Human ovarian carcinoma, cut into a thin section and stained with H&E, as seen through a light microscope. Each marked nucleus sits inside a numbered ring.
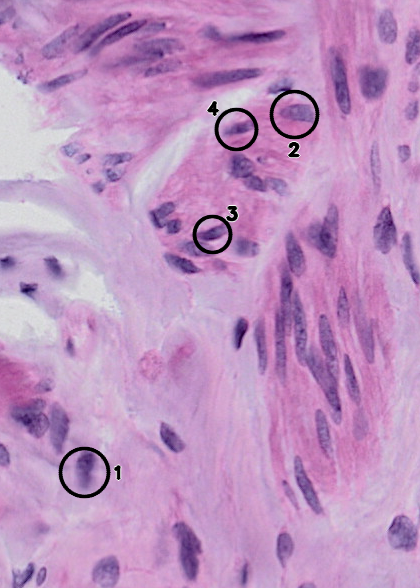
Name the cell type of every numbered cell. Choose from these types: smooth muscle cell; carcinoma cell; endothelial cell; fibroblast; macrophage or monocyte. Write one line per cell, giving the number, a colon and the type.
1: fibroblast
2: smooth muscle cell
3: smooth muscle cell
4: smooth muscle cell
